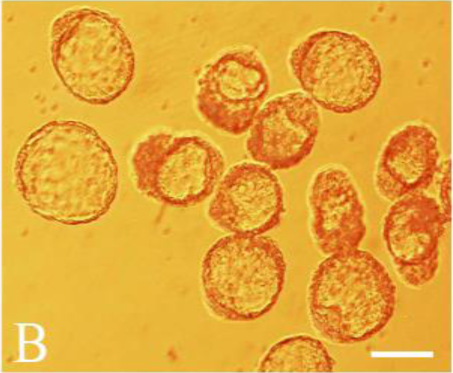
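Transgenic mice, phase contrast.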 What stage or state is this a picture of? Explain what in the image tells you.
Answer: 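Several are hollow spheres with a thin cellular rim around a clear central cavity. Some show a thicker cell mass at one side of the rim.
Blastocysts.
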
